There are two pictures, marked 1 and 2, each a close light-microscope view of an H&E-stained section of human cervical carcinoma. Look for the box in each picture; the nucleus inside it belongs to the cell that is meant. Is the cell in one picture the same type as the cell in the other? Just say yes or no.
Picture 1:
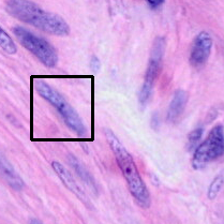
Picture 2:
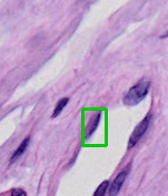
no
